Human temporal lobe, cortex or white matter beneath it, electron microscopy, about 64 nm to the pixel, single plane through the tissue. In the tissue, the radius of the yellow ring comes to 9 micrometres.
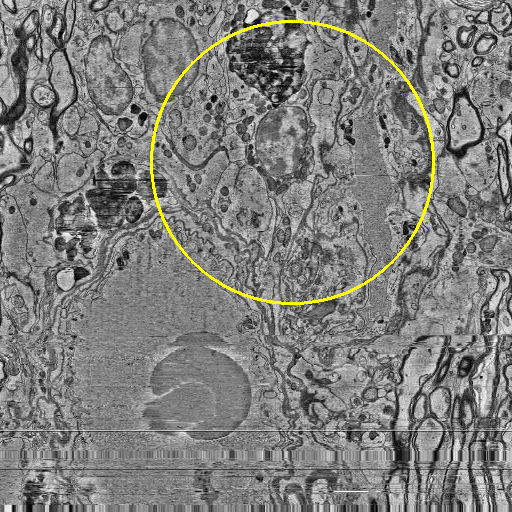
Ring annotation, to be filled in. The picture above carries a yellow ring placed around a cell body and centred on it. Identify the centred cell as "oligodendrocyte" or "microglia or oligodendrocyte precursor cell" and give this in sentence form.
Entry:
The cell in the middle of the ring is a microglial cell or oligodendrocyte precursor cell.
